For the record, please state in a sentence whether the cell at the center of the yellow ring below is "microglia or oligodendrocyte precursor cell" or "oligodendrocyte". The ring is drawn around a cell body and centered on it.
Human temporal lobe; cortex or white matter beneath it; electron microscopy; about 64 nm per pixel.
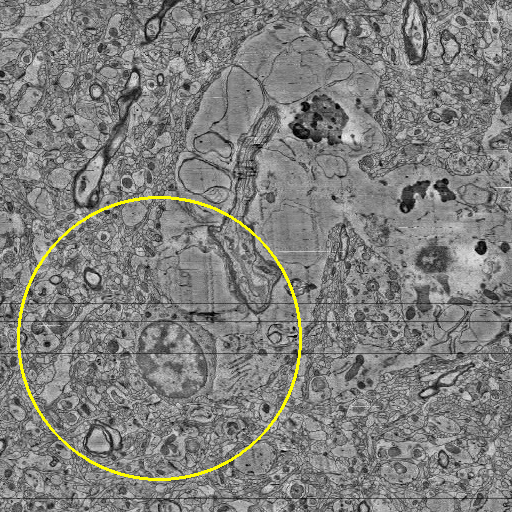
The cell at the ring's center is an oligodendrocyte.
